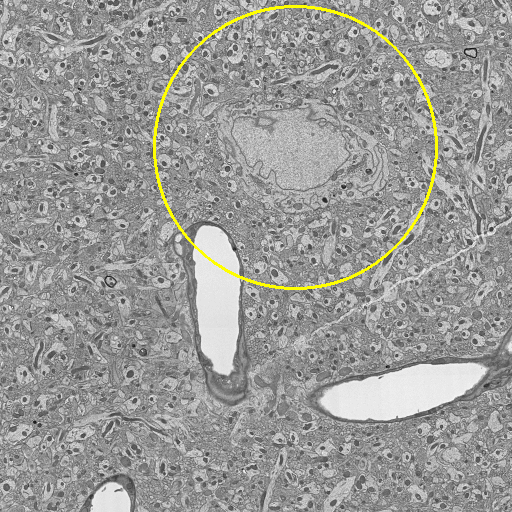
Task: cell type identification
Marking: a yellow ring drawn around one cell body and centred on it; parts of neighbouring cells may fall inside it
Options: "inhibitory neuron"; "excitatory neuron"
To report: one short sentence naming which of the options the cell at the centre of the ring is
The cell at the centre of the ring is an inhibitory neuron.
